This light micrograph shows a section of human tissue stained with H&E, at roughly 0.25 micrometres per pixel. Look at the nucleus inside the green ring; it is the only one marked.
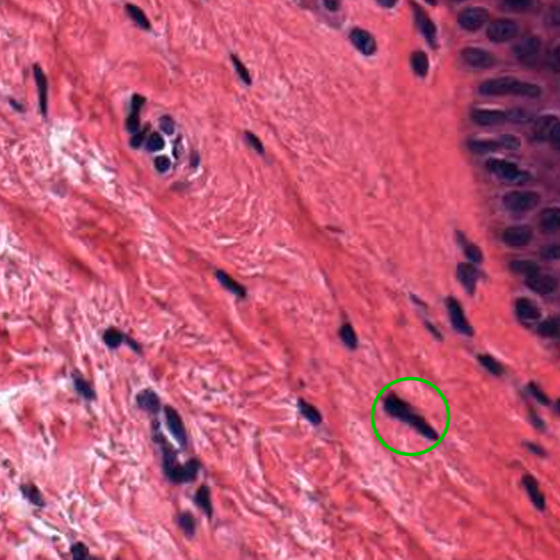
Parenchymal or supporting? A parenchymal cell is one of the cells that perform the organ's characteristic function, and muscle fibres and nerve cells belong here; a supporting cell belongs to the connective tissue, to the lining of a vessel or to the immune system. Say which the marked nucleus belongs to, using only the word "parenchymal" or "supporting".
supporting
